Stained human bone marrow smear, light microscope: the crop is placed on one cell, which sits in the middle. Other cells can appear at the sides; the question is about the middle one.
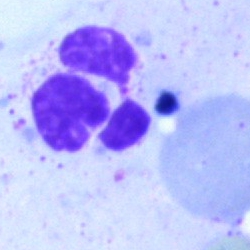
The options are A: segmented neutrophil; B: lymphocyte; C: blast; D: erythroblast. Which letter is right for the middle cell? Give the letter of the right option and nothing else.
A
